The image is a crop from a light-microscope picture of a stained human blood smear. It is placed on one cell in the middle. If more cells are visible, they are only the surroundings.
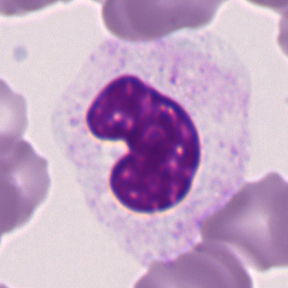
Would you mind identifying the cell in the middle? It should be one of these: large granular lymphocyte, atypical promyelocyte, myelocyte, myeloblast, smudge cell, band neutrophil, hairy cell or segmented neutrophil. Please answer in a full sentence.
In this crop, the cell at the very middle is a band neutrophil.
